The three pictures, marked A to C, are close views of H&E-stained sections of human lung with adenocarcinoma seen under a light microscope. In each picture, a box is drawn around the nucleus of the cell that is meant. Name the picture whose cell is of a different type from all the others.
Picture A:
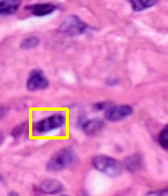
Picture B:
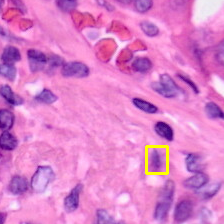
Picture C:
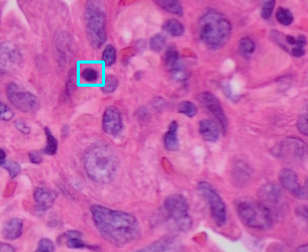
C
